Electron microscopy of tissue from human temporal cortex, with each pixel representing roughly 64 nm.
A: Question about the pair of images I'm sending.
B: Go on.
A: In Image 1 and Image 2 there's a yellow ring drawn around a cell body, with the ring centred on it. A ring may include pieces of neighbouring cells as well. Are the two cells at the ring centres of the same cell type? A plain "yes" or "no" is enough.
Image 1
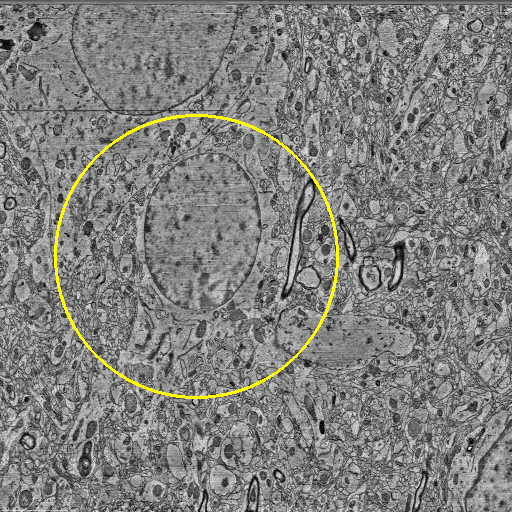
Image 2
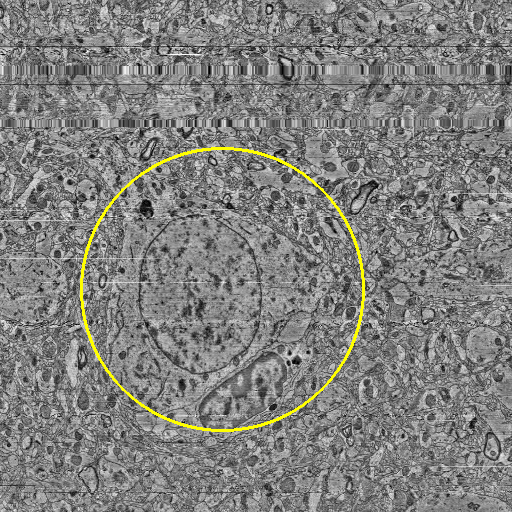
no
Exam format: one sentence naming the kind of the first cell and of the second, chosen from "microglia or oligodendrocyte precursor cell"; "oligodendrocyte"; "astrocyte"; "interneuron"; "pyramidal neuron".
The first picture's cell is an astrocyte, and the second picture's cell is a pyramidal neuron.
